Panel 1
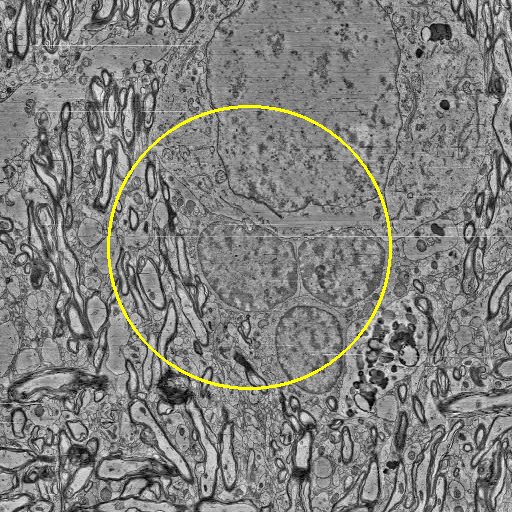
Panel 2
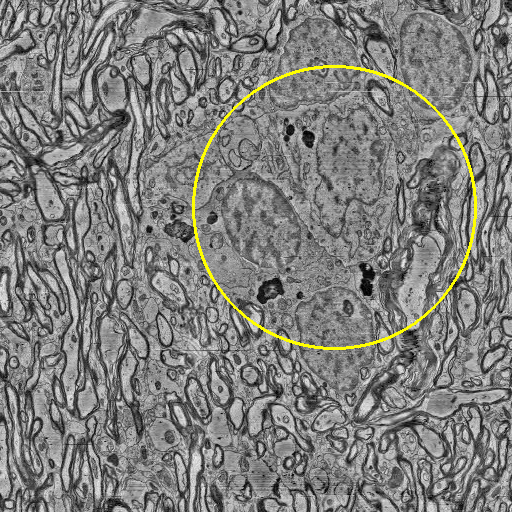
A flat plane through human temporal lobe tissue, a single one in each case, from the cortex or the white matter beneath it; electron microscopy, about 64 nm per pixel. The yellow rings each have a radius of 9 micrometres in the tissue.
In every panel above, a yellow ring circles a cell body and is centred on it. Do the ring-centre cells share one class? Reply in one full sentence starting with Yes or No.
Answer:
No, the two cells at the ring centres in the panels belong to two classes.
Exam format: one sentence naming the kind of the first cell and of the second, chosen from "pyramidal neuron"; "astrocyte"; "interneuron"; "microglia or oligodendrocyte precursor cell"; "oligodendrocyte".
The first picture's cell is an oligodendrocyte, and the second picture's cell is an interneuron.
